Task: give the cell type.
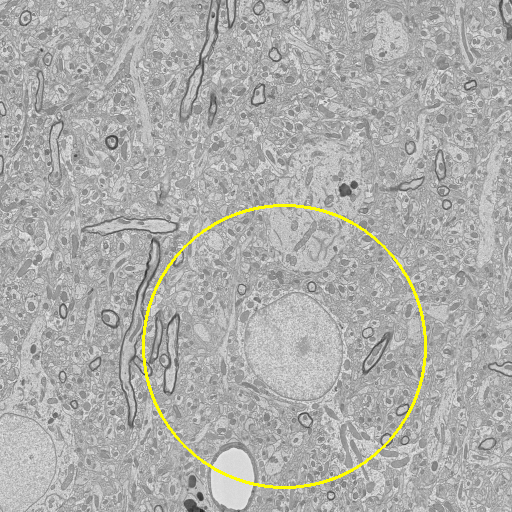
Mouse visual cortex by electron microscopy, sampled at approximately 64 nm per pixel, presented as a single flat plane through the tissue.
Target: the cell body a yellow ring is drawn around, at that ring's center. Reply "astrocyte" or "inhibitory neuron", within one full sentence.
In this picture, the cell whose body lies at the ring's center is an astrocyte.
